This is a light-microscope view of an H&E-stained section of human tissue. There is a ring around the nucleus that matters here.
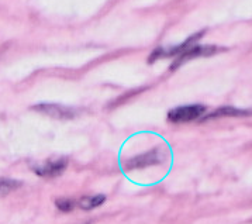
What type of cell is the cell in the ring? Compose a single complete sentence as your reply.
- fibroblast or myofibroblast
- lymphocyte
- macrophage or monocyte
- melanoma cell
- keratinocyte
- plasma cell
In terms of identity, the cell in the ring is a fibroblast or myofibroblast.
